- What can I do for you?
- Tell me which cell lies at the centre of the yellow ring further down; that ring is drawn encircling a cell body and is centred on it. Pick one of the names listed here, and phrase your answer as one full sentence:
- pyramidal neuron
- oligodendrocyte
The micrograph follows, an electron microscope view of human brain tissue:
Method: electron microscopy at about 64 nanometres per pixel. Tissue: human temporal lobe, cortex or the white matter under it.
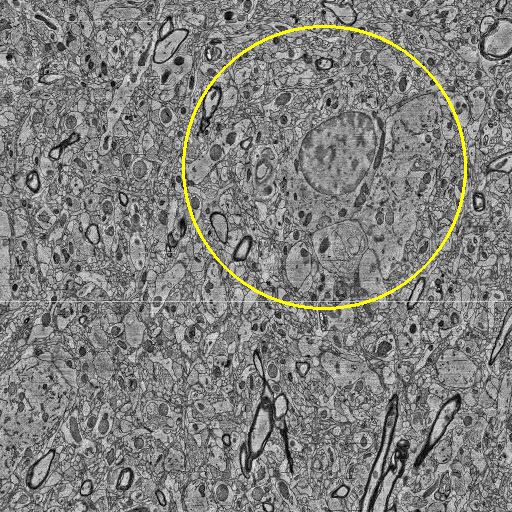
The cell whose body lies at the centre of the yellow ring is an oligodendrocyte.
